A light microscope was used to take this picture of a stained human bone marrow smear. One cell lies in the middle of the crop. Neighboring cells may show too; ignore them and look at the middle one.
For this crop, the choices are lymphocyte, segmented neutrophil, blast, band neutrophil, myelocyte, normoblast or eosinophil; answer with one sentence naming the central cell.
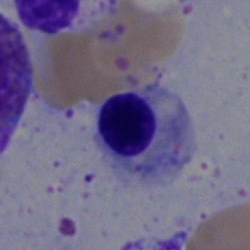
Occupying the centre of the crop is a normoblast.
